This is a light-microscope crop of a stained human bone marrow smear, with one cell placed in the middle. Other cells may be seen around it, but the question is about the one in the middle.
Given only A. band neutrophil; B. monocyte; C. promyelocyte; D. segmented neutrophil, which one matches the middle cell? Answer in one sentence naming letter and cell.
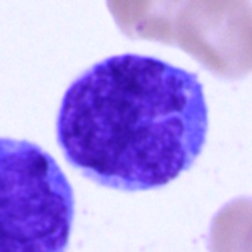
The central cell of the crop is a monocyte, which makes B the correct option.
